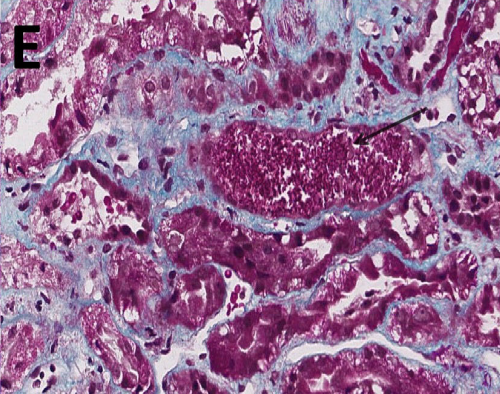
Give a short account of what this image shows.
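This is renal cortex with tubules whose epithelial cells have purple-red cytoplasm set in blue-green stained interstitium. One tubular lumen is packed with red blood cells forming a cast. Surrounding tubular epithelium looks disrupted, with cells detached and loosely arranged in places, consistent with focal necrosis.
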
